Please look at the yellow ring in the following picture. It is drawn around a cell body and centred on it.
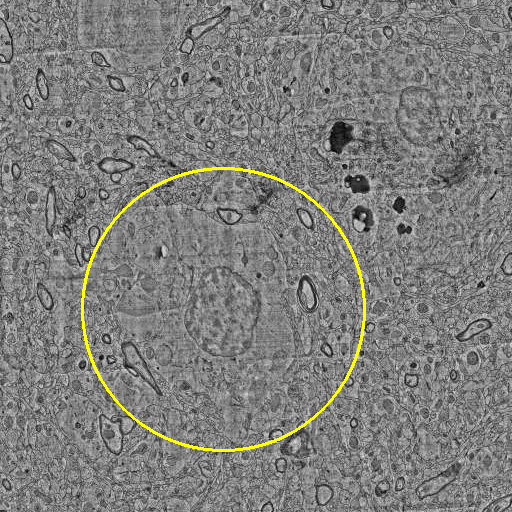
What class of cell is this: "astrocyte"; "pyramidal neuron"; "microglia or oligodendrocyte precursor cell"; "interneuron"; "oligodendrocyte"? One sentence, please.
The ring surrounds the cell body of an astrocyte.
